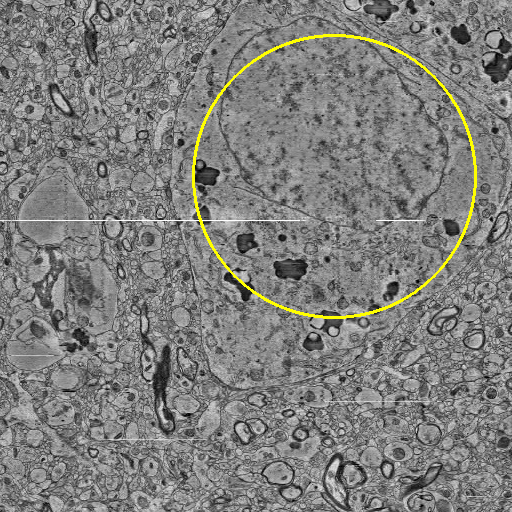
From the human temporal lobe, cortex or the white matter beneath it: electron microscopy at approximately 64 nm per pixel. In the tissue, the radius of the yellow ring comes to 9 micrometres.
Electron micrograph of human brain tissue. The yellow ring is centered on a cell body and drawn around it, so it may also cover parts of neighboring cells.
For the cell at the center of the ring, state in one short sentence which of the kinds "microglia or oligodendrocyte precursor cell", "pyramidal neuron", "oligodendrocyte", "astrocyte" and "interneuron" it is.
This ring is centered on a pyramidal neuron.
